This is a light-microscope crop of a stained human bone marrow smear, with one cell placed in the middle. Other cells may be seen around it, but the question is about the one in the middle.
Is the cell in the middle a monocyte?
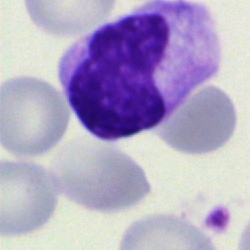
no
